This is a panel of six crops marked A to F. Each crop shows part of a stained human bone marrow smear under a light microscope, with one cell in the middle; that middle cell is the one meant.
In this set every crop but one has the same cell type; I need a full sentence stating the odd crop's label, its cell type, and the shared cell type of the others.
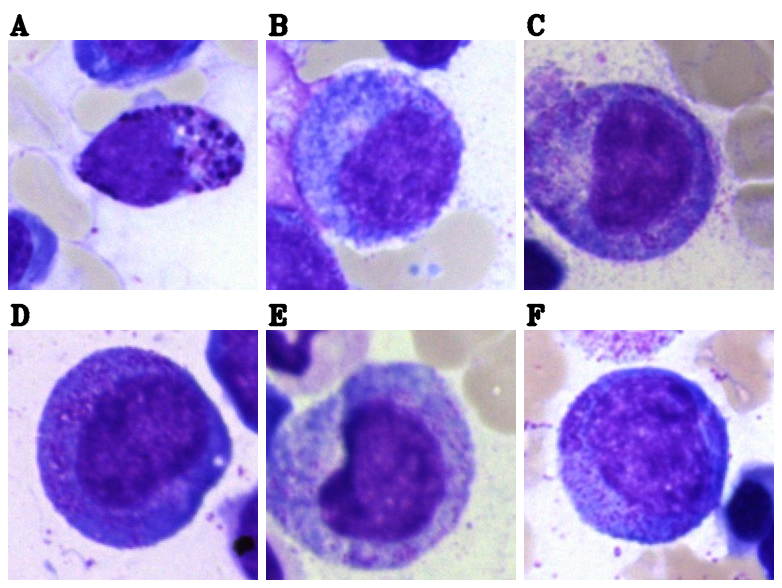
Crop A is the sole crop with a basophil; the others all have promyelocytes.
